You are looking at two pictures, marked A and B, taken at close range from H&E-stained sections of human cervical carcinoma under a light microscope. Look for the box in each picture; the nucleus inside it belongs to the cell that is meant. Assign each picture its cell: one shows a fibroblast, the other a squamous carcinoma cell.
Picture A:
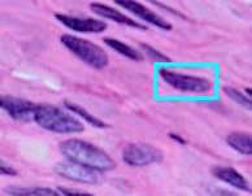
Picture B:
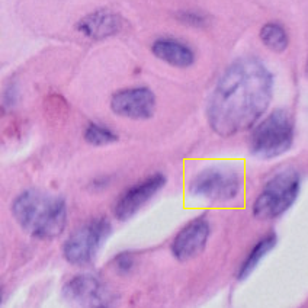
A: fibroblast
B: squamous carcinoma cell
